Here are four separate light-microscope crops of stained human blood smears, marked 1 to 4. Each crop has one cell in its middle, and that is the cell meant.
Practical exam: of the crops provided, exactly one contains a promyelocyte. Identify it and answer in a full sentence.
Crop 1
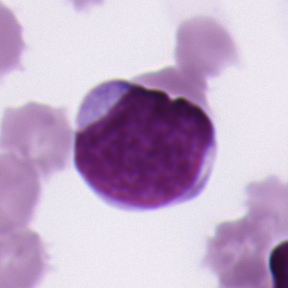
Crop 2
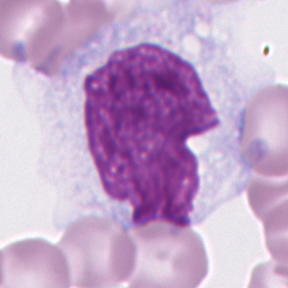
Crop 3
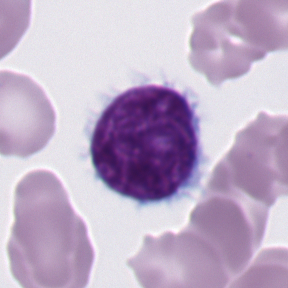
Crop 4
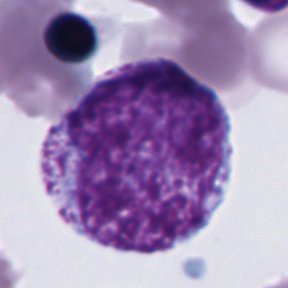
Among the crops, only crop 4 contains a promyelocyte.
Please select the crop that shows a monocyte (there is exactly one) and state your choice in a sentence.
Look at crop 2; that is the one with a monocyte in its center.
